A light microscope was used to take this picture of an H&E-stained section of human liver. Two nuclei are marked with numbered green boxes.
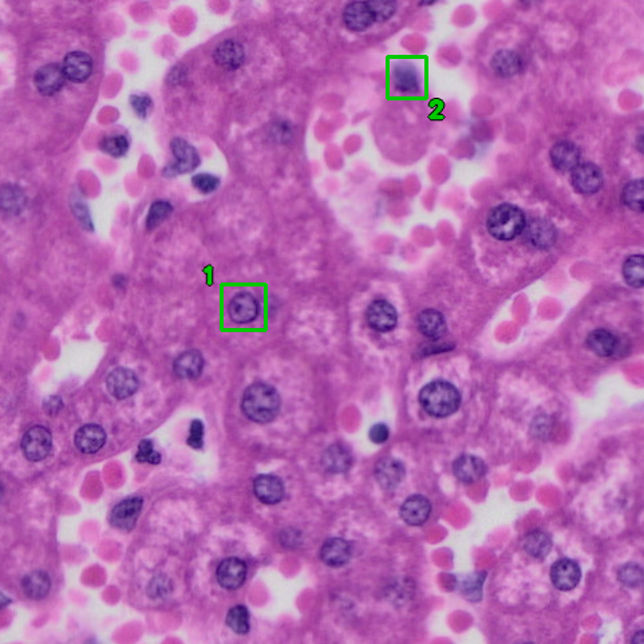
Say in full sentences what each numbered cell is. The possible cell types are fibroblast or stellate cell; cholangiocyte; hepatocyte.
Cell 1 is a hepatocyte. Cell 2 is a fibroblast or stellate cell.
